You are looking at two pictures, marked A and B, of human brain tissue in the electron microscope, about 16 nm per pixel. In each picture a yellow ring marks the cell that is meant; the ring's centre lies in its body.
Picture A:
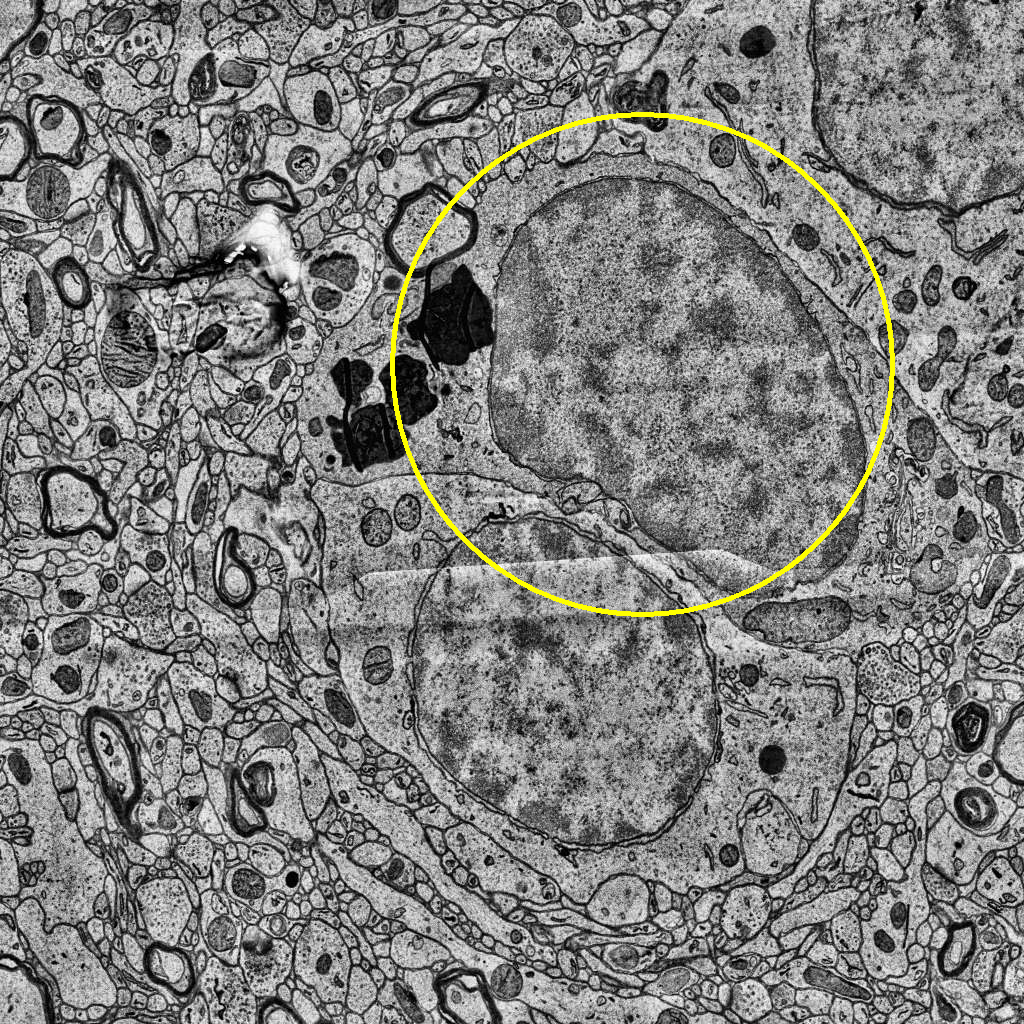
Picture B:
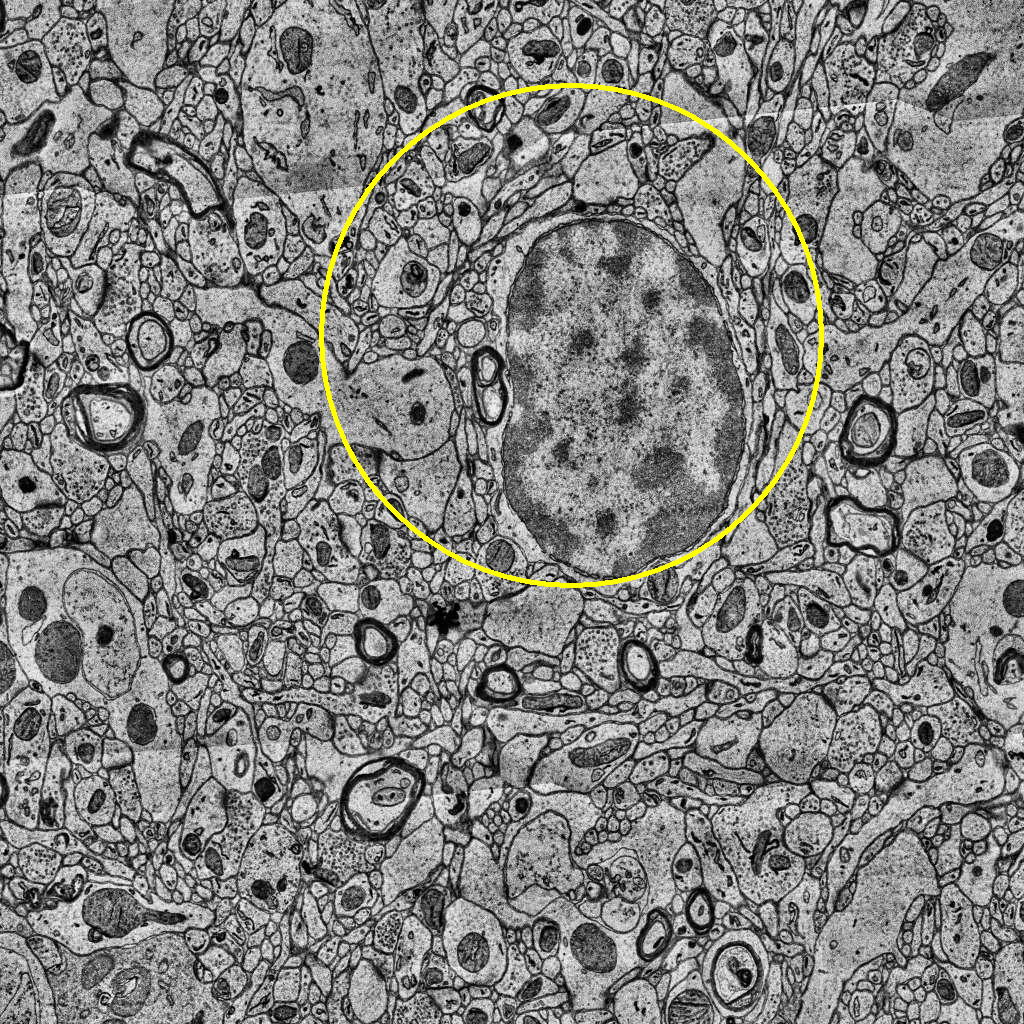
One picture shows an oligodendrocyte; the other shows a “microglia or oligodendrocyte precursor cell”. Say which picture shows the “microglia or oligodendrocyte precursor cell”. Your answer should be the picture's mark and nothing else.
B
